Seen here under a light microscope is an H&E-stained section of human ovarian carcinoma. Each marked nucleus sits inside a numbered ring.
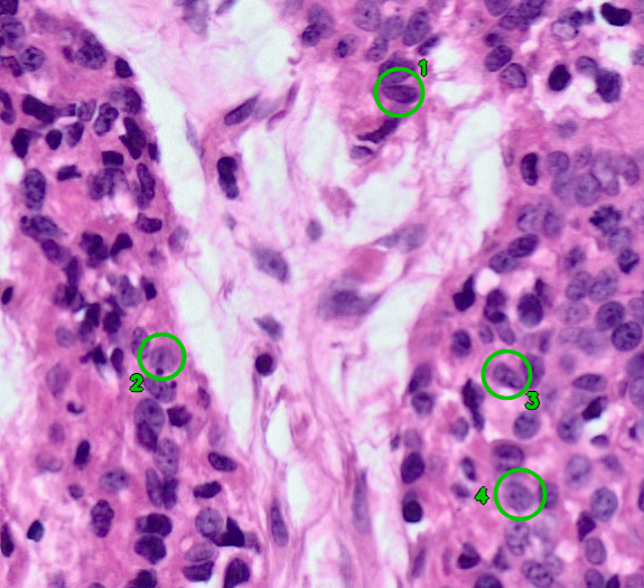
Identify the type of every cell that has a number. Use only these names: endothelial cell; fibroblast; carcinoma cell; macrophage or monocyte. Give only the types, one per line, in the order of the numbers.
carcinoma cell
macrophage or monocyte
carcinoma cell
carcinoma cell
